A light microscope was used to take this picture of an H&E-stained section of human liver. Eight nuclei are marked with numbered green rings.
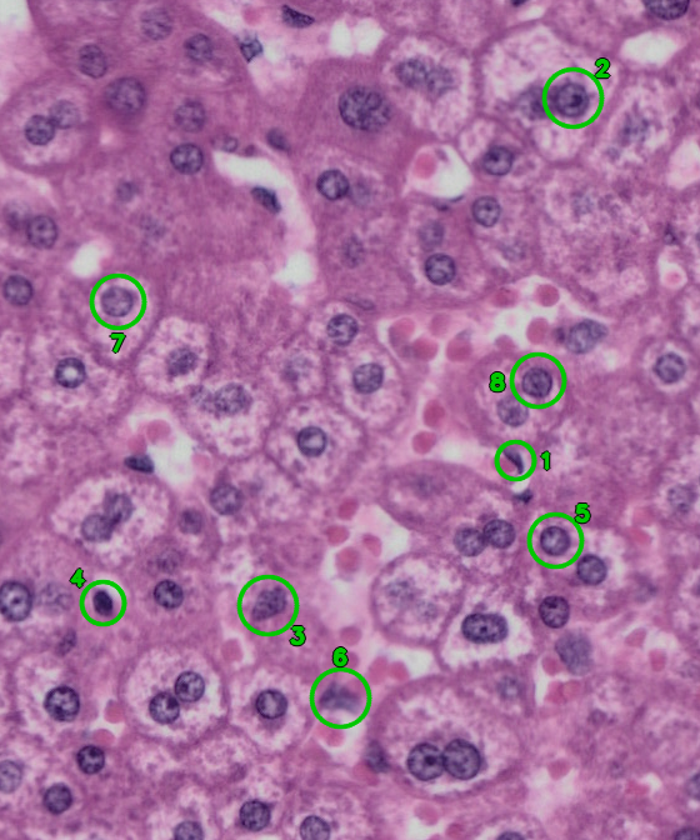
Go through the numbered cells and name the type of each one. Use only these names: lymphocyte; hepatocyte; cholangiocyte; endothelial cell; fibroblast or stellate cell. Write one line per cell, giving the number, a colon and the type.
1: endothelial cell
2: hepatocyte
3: fibroblast or stellate cell
4: lymphocyte
5: hepatocyte
6: endothelial cell
7: hepatocyte
8: hepatocyte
